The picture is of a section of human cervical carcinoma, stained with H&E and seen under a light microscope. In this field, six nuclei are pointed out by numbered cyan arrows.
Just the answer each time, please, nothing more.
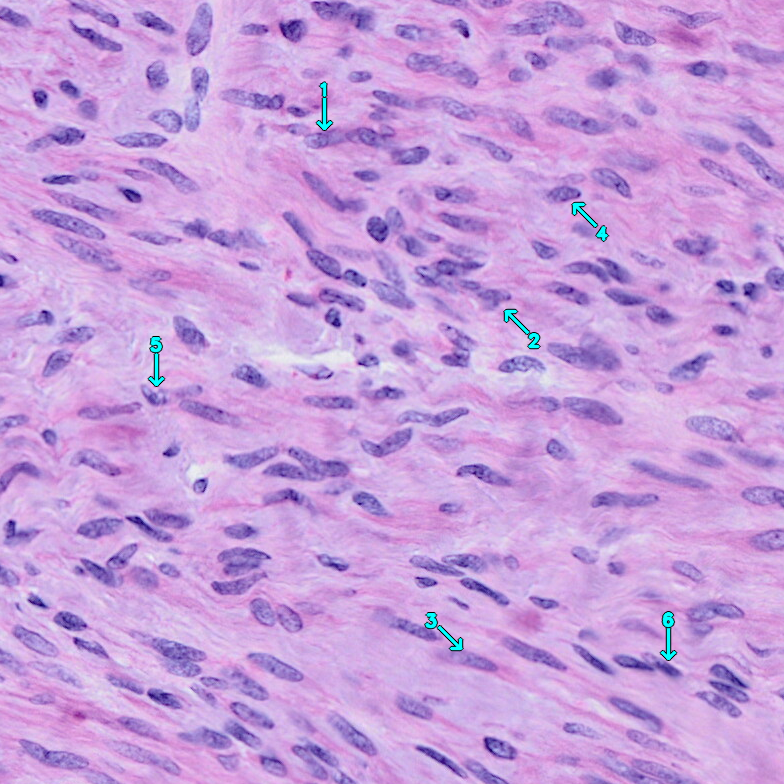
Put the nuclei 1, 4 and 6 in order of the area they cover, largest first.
1, 4, 6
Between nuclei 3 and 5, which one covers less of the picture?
5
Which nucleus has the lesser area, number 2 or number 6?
6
